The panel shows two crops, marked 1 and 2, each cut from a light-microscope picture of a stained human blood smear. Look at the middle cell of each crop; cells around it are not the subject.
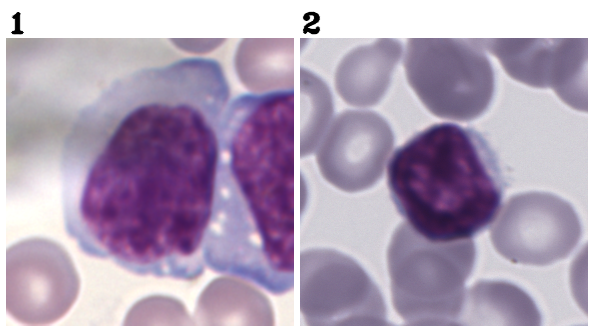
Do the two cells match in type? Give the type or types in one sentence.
No, crop 1 is to be identified as a myeloblast and crop 2 as a typical lymphocyte.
